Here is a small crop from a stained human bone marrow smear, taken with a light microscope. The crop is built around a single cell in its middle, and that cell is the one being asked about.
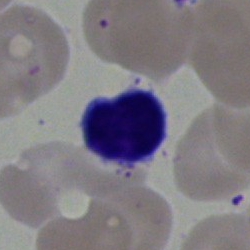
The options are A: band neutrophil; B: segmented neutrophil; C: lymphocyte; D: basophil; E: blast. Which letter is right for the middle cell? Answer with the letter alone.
C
